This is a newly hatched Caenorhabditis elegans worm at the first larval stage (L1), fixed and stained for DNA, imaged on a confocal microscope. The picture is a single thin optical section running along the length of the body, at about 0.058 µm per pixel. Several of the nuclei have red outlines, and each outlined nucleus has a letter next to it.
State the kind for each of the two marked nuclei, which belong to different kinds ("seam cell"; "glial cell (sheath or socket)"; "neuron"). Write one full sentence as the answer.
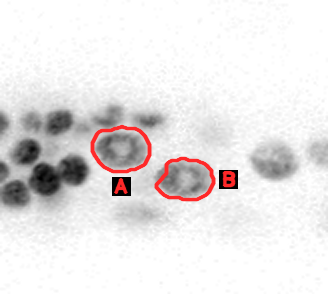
A is from a seam cell, and B is from a glial cell (sheath or socket).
